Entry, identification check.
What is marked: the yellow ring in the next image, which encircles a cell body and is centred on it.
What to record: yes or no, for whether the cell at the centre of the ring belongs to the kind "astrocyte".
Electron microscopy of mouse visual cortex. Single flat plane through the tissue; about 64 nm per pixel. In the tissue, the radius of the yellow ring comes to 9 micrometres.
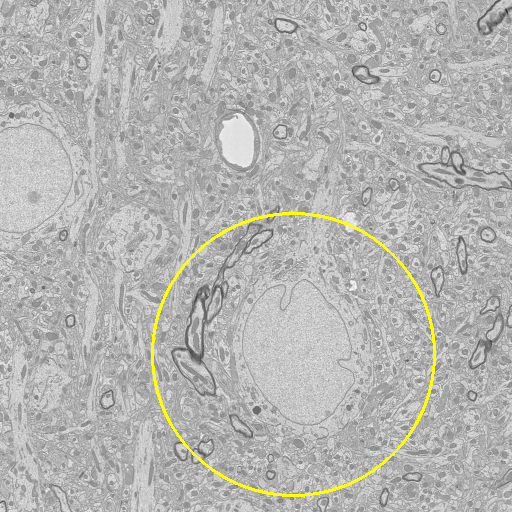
No, it belongs to another kind.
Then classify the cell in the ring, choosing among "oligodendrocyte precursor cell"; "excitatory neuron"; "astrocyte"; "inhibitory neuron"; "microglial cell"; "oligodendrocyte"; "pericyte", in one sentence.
The cell at the middle of the ring is an excitatory neuron.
